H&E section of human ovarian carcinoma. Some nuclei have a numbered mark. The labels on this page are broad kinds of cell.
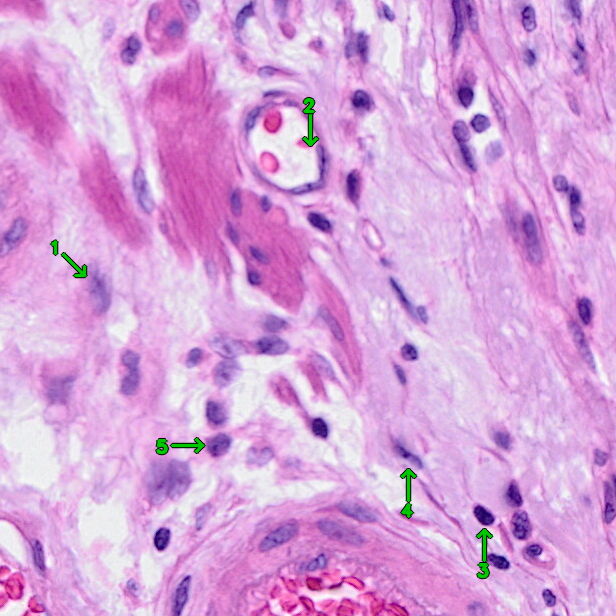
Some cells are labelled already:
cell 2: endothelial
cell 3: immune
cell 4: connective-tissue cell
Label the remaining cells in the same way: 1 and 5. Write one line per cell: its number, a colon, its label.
1: connective-tissue cell
5: immune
